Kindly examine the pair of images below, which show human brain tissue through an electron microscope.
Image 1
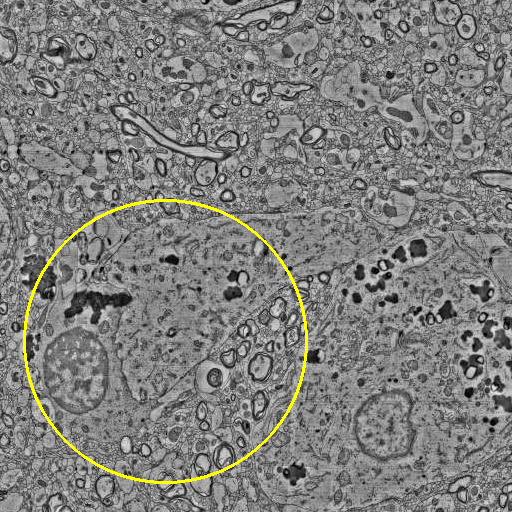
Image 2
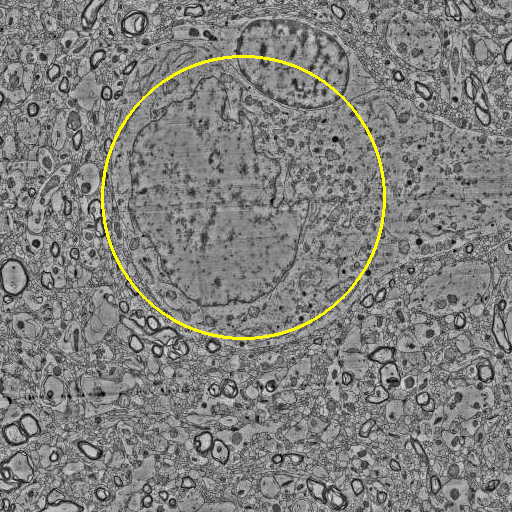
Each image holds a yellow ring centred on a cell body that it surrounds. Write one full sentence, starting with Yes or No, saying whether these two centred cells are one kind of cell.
No, the cells at the centres of the yellow rings belong to two kinds of cell.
